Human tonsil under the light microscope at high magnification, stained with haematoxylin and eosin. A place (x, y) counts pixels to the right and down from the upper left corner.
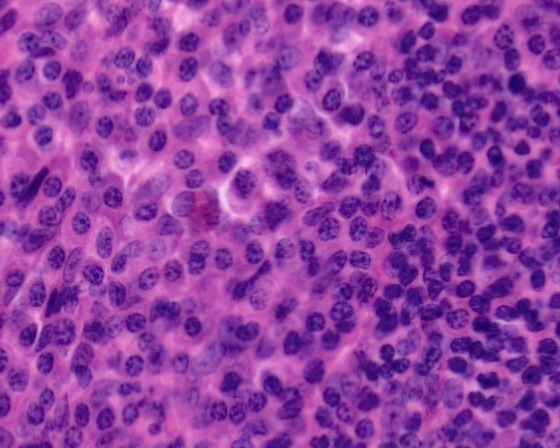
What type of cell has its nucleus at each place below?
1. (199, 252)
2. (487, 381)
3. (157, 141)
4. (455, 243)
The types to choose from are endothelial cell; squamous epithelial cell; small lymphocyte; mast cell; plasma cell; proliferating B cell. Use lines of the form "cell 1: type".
cell 1: plasma cell
cell 2: small lymphocyte
cell 3: plasma cell
cell 4: plasma cell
